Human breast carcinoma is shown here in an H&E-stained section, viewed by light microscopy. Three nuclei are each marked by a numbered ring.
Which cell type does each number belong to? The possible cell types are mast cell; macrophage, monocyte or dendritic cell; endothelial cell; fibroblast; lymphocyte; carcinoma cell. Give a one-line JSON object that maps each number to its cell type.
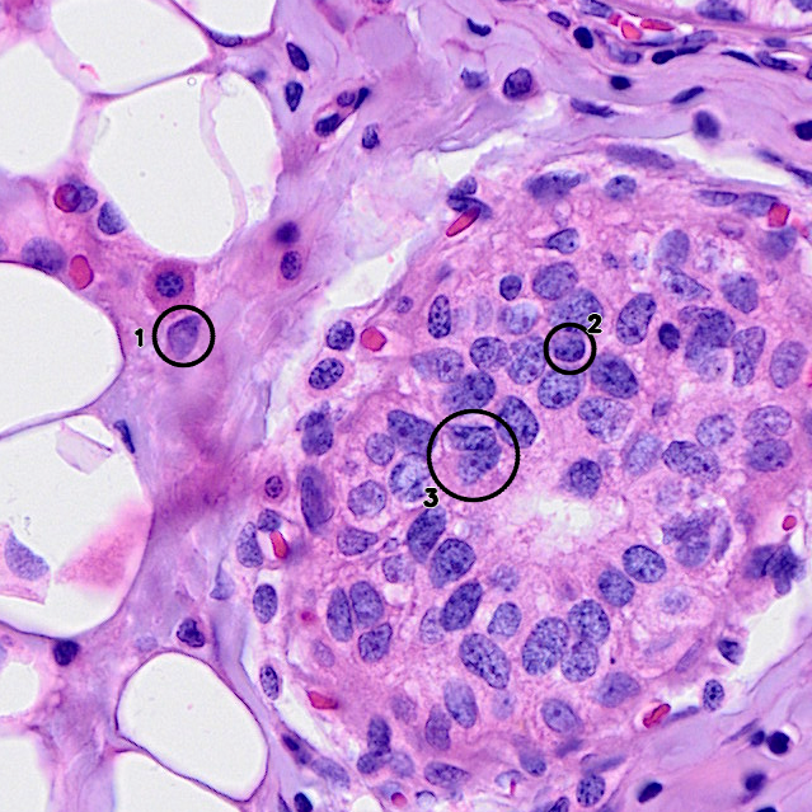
{"1": "fibroblast", "2": "carcinoma cell", "3": "carcinoma cell"}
